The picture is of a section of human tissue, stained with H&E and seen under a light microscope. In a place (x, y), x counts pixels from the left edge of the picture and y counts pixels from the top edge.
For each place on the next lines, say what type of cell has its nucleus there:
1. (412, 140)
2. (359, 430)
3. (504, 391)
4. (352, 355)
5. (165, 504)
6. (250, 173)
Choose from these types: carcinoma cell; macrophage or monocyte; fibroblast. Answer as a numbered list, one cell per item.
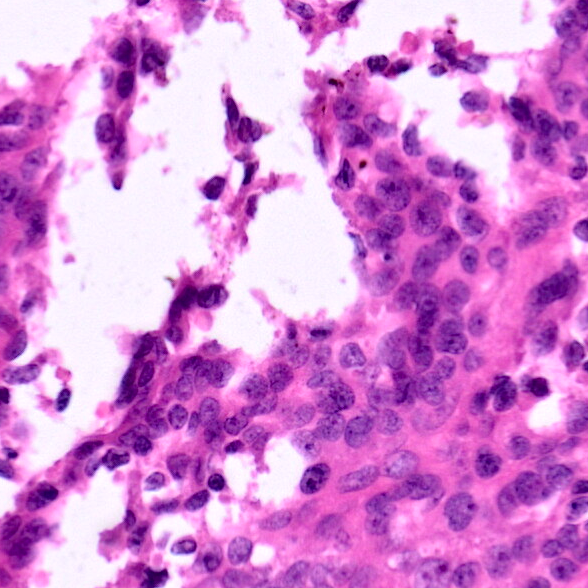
1. macrophage or monocyte
2. carcinoma cell
3. carcinoma cell
4. macrophage or monocyte
5. carcinoma cell
6. macrophage or monocyte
